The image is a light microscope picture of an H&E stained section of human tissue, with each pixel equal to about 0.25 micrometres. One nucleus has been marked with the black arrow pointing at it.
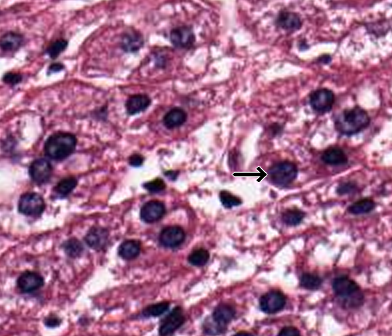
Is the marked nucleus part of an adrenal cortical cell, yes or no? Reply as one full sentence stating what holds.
Yes, to an adrenal cortical cell belongs the marked nucleus.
